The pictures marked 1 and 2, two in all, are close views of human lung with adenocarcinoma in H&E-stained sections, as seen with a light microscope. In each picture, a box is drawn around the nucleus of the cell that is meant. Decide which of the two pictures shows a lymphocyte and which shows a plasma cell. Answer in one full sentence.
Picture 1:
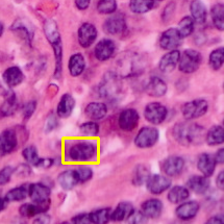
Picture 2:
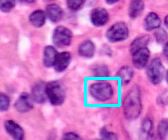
Picture 1 is of a plasma cell, and picture 2 is of a lymphocyte.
